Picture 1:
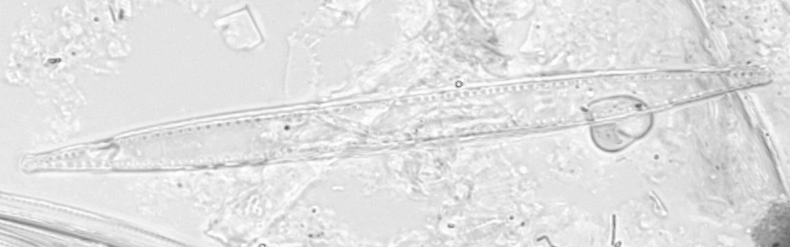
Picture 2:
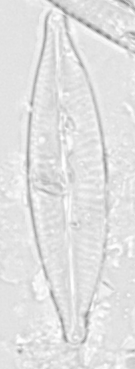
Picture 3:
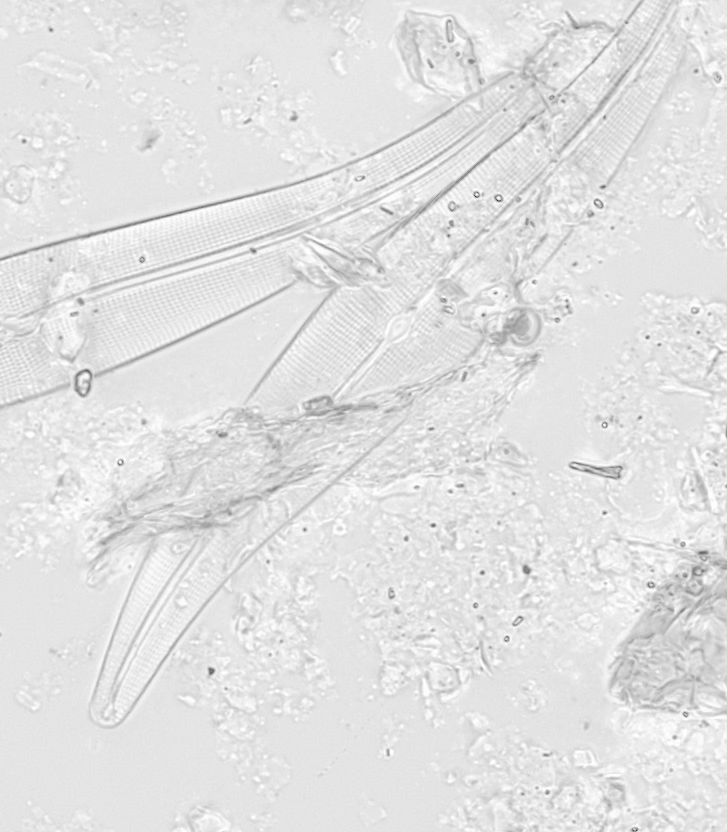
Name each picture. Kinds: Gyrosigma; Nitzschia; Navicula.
1. Nitzschia
2. Navicula
3. Gyrosigma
